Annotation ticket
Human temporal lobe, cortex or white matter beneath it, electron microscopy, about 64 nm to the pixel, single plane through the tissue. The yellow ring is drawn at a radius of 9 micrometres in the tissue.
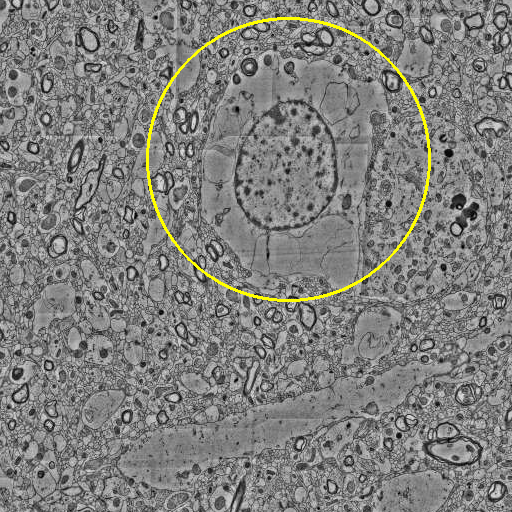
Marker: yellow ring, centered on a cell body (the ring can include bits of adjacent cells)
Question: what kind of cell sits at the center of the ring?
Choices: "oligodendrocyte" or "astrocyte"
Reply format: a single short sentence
The ring is centered on an astrocyte.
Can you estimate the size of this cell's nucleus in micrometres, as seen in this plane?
About 8 by 6 micrometers, in this plane.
